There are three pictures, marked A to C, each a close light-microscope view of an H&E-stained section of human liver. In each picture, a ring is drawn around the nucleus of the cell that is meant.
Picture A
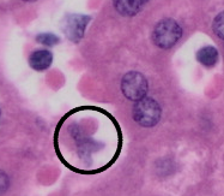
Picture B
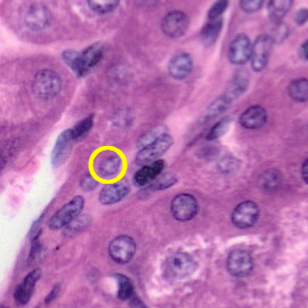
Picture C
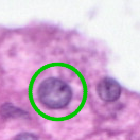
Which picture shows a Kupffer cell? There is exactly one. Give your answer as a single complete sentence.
Picture A is the one that shows the Kupffer cell.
